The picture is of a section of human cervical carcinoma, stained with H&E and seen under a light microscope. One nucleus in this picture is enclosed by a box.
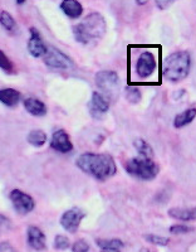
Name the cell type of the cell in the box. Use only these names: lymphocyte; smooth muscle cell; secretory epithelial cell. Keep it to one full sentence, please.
Speaking plainly, the cell in the box is nothing other than a lymphocyte.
